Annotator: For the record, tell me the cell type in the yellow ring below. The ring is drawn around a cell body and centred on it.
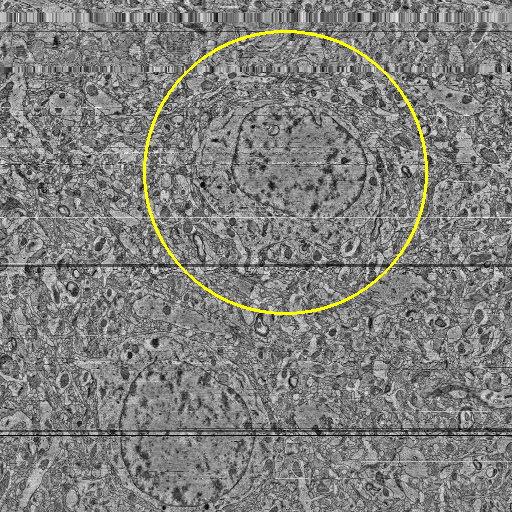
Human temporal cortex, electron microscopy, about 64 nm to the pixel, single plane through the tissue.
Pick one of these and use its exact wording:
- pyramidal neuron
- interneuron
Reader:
pyramidal neuron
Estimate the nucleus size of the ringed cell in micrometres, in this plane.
The ringed cell's nucleus measures approximately 9 by 7 micrometres in this plane.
